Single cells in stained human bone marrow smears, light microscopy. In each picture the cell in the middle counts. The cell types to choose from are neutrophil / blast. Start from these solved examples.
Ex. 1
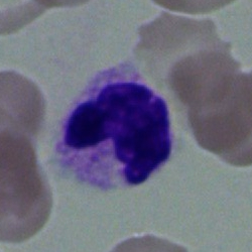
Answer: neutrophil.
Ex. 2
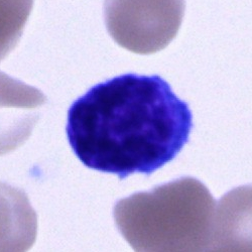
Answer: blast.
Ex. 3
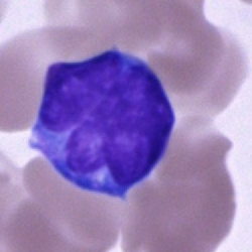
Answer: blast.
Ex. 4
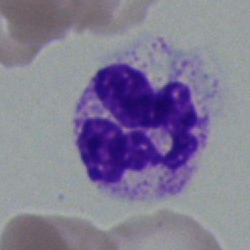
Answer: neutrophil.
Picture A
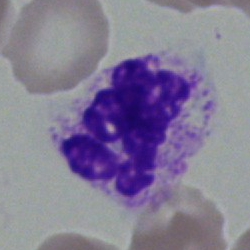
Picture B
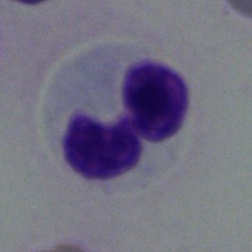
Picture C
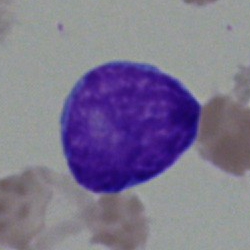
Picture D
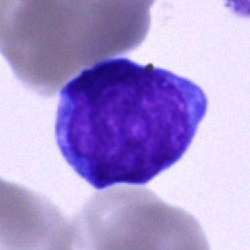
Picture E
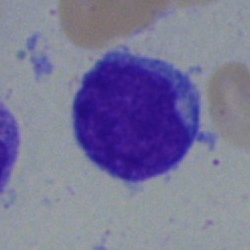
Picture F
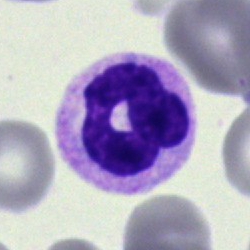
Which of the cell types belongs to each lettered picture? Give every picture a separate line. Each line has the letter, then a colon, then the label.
A: neutrophil.
B: neutrophil.
C: blast.
D: blast.
E: blast.
F: neutrophil.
